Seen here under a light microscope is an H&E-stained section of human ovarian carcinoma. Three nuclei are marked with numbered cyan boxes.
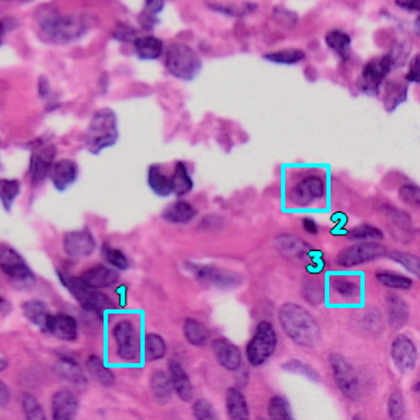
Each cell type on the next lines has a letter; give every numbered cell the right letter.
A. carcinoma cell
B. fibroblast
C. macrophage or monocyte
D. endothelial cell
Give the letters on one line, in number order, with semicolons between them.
C; C; A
